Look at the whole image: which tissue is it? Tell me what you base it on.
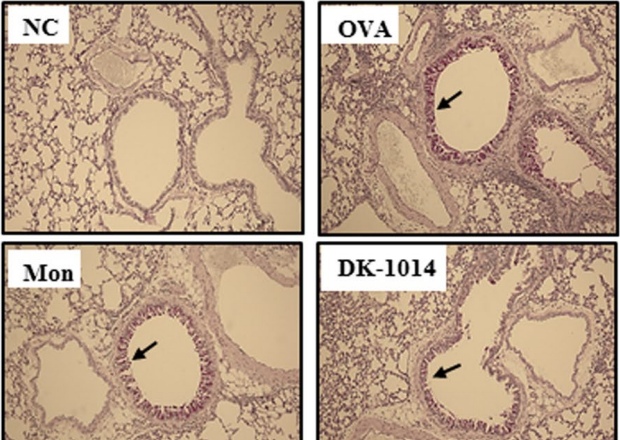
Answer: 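A fine lace-like network of thin-walled air spaces fills the background. Round tubes lined by epithelium sit within this network, beside thin-walled vessels. The answer: Lung tissue.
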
